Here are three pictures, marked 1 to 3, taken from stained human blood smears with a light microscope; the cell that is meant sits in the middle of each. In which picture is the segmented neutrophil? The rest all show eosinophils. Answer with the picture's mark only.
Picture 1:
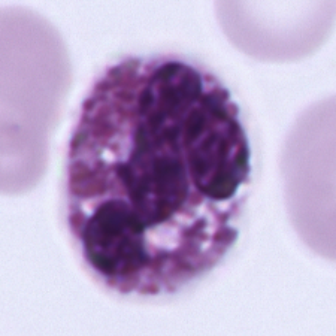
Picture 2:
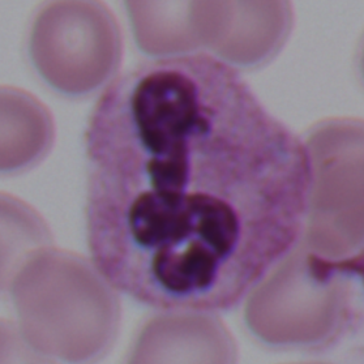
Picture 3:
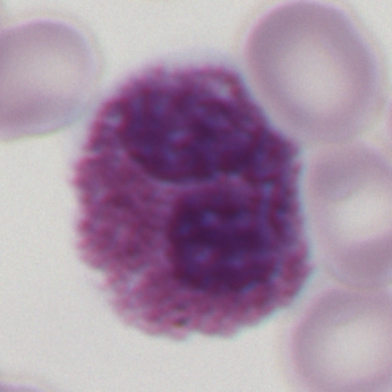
2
